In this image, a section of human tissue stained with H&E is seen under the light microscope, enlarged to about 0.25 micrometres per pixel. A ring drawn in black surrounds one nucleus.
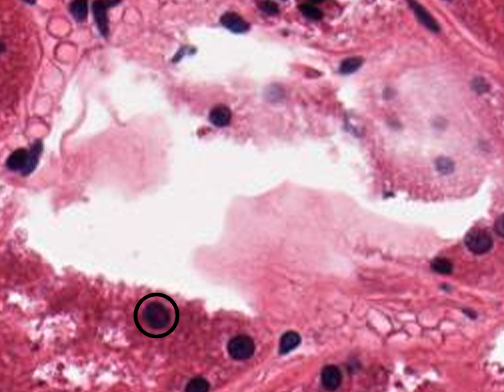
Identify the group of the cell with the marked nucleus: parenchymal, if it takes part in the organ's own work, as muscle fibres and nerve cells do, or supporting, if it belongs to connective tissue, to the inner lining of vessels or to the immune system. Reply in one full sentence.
The cell whose nucleus is marked is a parenchymal cell, namely a proximal tubule cell.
